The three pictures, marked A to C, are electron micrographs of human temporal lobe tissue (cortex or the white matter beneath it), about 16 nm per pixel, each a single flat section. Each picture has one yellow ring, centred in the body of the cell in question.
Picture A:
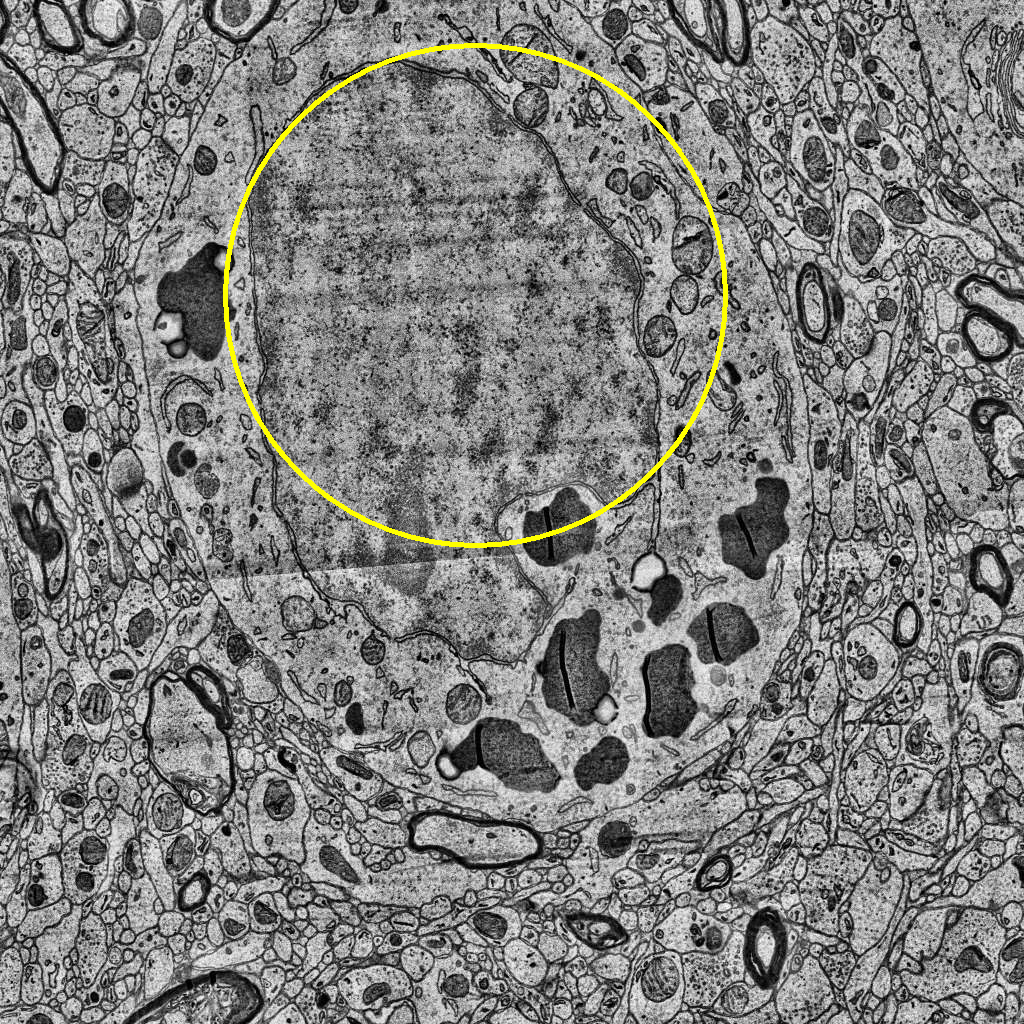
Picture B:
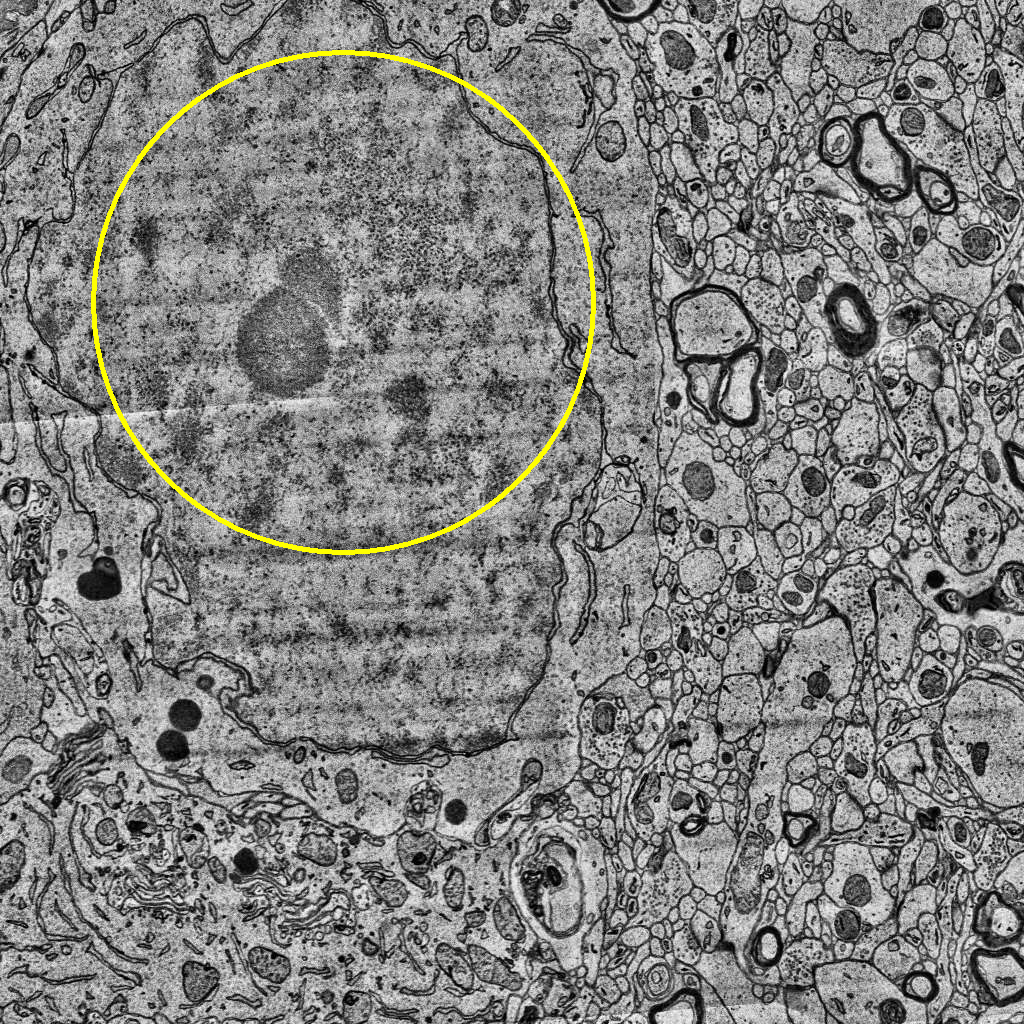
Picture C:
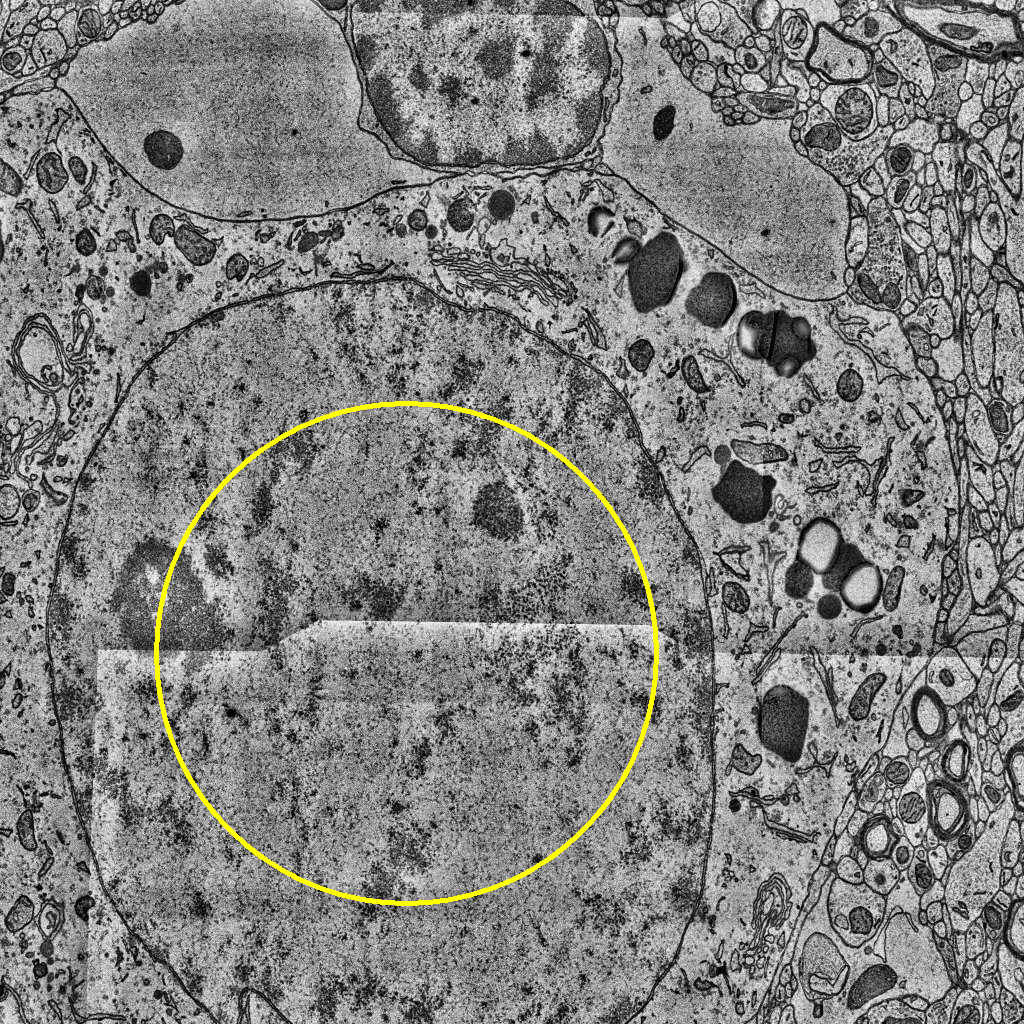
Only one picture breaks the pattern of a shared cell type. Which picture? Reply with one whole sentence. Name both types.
The different one is picture C; it shows a pyramidal neuron, whereas all the others show interneurons.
